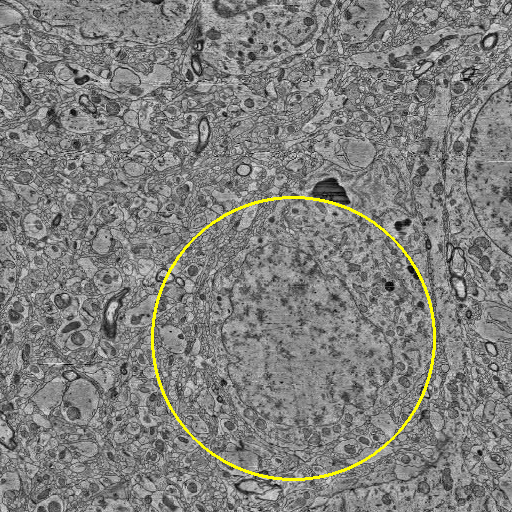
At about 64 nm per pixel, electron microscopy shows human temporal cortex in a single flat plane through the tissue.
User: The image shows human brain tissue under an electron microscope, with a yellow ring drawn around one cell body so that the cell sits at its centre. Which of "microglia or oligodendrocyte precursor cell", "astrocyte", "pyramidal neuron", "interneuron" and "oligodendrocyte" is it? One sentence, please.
At the centre of the ring sits an interneuron.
